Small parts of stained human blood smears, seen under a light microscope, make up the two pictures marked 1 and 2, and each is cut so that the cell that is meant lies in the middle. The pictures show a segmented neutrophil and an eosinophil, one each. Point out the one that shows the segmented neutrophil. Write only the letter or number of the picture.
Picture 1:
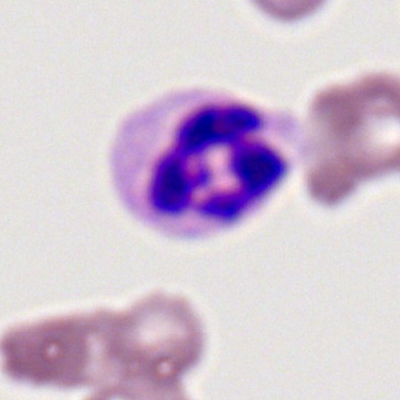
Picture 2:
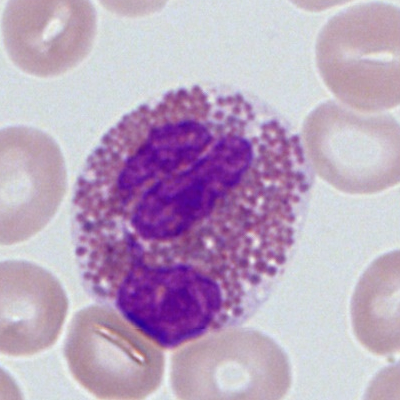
1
